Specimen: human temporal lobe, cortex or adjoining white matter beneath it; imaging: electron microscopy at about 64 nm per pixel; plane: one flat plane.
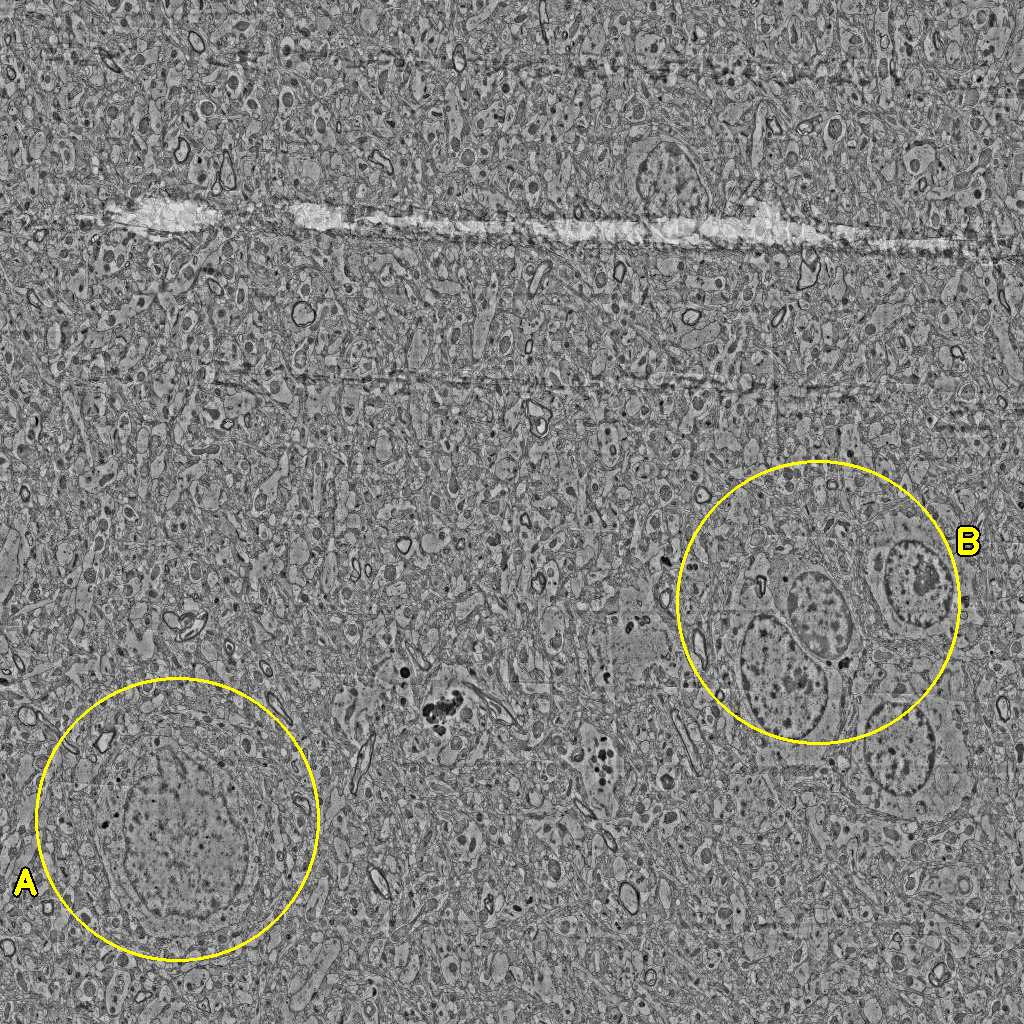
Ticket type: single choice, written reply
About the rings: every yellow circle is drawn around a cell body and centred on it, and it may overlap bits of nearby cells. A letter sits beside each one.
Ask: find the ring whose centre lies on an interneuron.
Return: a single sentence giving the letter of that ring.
At the centre of the ring marked A lies the cell asked for.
